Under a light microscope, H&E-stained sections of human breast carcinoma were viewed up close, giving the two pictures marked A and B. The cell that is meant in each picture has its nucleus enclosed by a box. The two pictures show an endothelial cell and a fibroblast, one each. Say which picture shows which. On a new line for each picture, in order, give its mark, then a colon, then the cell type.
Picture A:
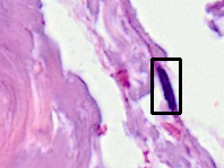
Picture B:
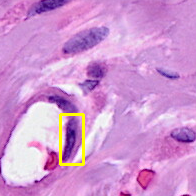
A: fibroblast
B: endothelial cell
